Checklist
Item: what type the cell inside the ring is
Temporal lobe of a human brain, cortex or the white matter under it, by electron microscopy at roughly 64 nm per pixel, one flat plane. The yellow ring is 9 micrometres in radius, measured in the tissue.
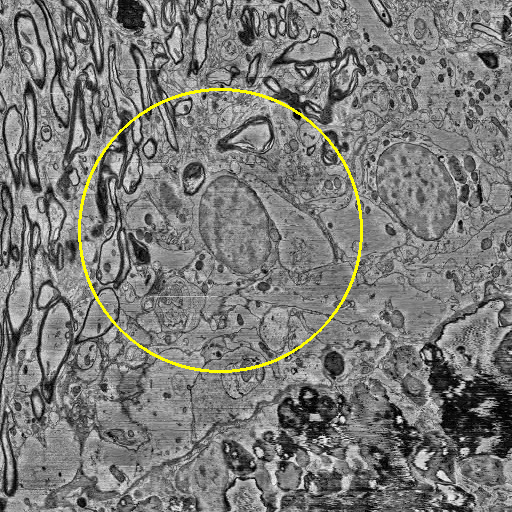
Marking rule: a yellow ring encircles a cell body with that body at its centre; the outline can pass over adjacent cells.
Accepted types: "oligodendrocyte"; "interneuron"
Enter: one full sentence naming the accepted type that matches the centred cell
The entry is that an oligodendrocyte lies at the centre of the yellow ring.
